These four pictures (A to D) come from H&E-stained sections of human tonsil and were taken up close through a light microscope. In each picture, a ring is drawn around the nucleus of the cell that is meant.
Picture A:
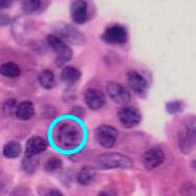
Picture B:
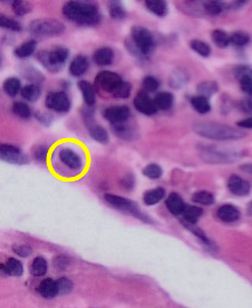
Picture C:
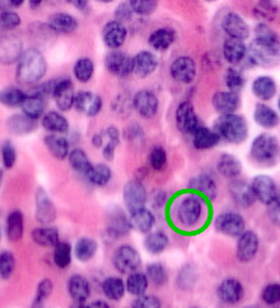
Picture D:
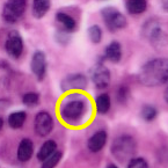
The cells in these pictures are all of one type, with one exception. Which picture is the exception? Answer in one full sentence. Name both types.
Picture B differs, because its cell is a mast cell and the rest are plasma cells.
